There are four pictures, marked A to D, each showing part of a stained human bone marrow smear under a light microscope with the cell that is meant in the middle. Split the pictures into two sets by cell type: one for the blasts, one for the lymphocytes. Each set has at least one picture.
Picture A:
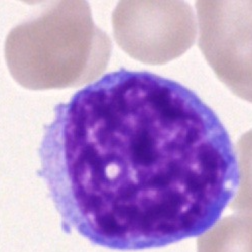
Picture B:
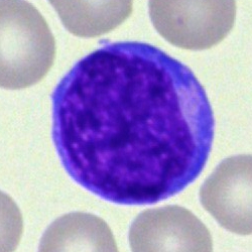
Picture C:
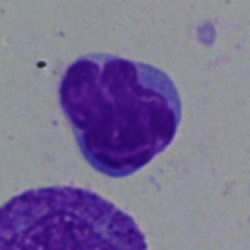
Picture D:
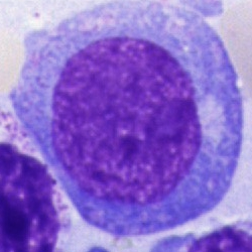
A: blast
B: blast
C: lymphocyte
D: blast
